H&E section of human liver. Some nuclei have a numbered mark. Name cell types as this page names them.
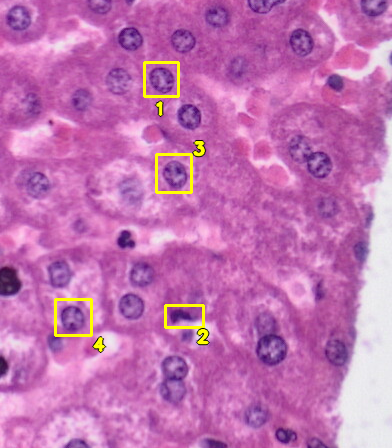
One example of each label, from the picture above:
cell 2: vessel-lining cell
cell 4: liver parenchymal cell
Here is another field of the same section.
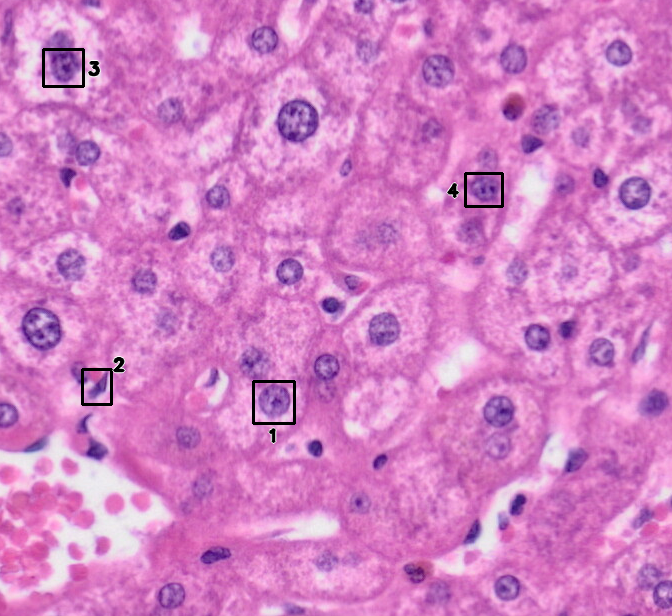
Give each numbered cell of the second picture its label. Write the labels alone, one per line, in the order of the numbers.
liver parenchymal cell
vessel-lining cell
liver parenchymal cell
liver parenchymal cell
